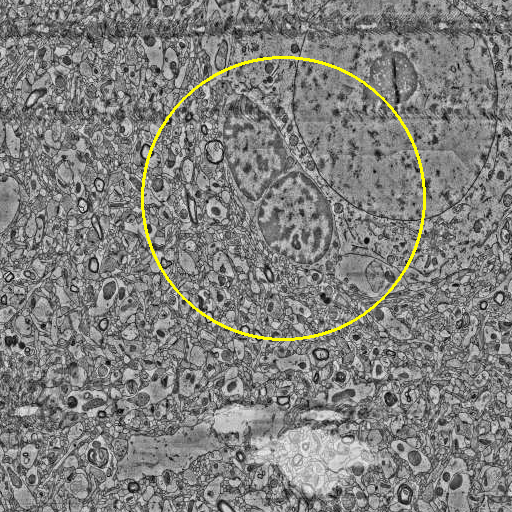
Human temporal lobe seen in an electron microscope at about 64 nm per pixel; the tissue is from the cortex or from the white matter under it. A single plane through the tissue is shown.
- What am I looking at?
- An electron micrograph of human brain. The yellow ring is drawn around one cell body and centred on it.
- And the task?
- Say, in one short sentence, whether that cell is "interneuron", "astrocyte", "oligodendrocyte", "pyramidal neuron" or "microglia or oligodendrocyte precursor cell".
The cell in the middle of the ring is an oligodendrocyte.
